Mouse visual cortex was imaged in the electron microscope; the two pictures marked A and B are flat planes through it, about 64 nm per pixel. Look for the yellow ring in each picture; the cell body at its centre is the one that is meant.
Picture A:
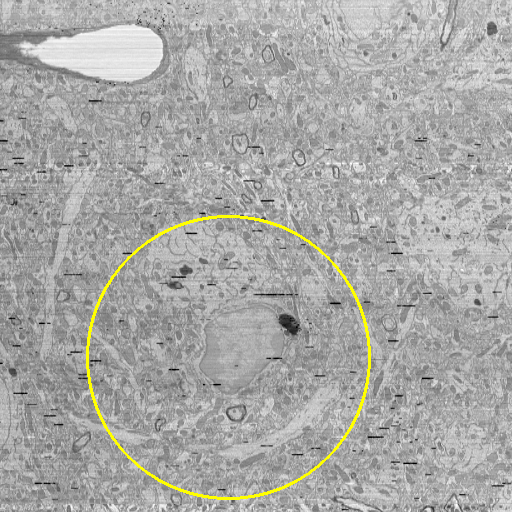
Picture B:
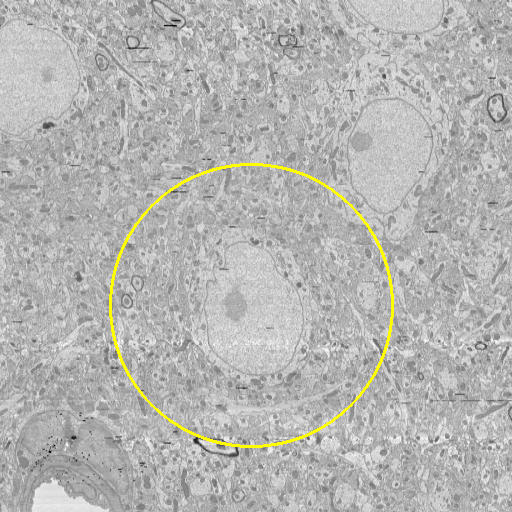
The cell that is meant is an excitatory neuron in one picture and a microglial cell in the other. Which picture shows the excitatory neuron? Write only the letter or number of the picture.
B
